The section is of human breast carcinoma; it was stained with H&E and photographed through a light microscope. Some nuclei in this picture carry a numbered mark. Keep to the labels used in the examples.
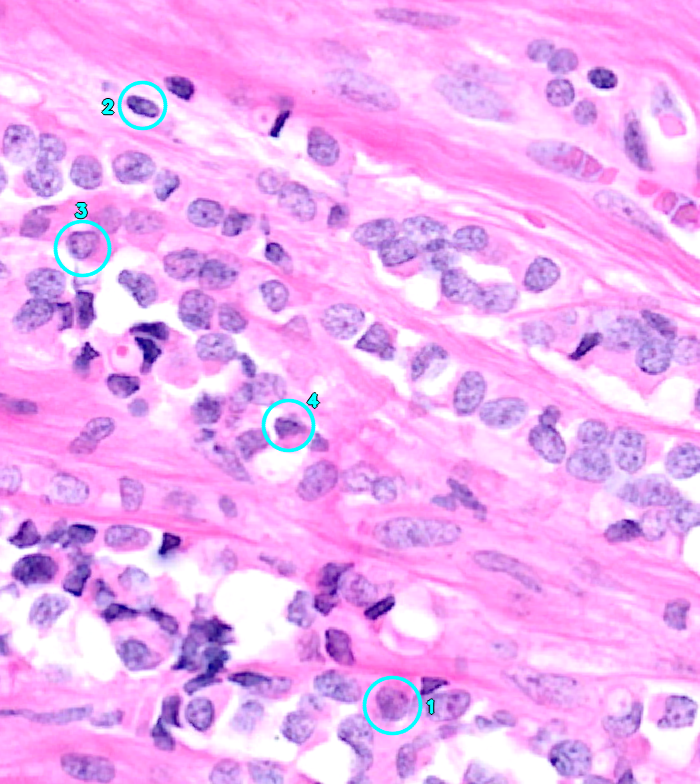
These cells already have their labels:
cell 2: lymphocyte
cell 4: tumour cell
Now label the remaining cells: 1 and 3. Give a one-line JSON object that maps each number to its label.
{"1": "tumour cell", "3": "tumour cell"}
